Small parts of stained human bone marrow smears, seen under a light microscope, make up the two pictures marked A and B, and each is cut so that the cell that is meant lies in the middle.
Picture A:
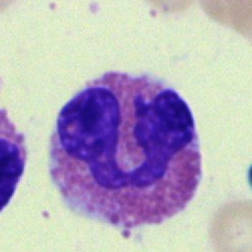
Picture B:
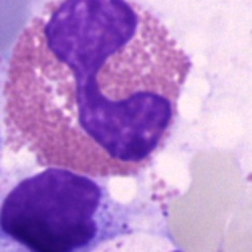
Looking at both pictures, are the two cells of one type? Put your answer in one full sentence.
Yes, the two pictures both show eosinophils.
